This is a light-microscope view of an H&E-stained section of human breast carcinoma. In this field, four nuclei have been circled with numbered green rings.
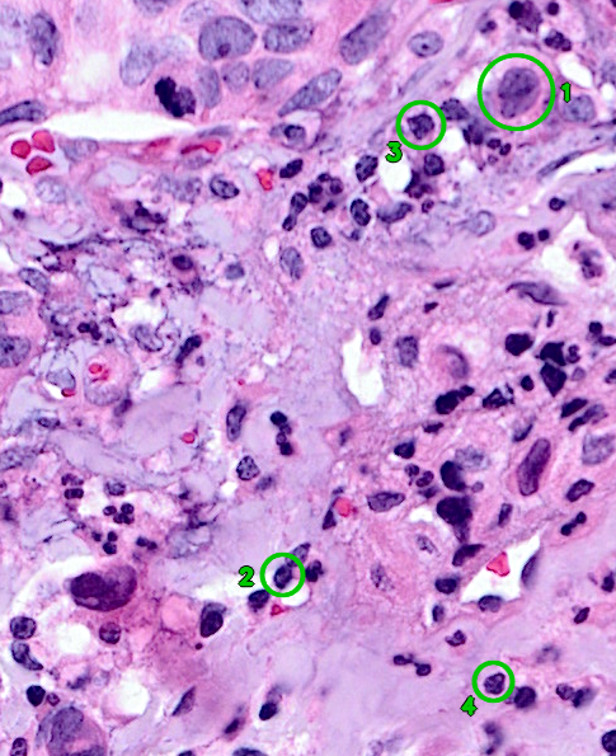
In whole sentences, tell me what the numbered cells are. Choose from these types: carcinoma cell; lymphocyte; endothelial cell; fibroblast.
Cell 1 is a carcinoma cell. Cells 2, 3 and 4 are lymphocytes.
